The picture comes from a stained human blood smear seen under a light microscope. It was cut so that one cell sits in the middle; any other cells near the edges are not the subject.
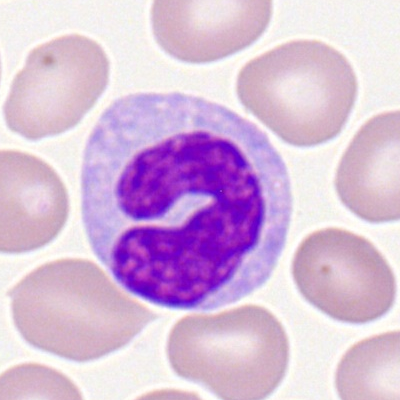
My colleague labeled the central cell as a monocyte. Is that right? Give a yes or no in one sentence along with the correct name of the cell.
Yes, the cell in the middle of this smear crop is a monocyte.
